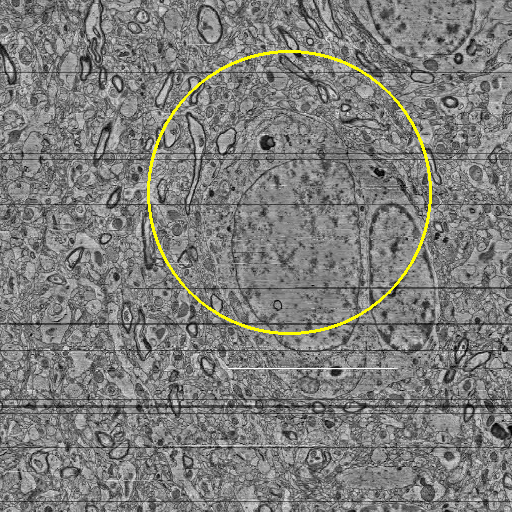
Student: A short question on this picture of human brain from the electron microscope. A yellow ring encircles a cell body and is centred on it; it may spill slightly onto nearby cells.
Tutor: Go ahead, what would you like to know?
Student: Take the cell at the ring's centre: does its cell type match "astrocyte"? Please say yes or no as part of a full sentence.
No, the cell found at the ring's centre in the picture has another cell type.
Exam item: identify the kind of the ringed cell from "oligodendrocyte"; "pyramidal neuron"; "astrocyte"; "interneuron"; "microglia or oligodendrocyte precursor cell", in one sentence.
Instead, the ringed cell here is a pyramidal neuron.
